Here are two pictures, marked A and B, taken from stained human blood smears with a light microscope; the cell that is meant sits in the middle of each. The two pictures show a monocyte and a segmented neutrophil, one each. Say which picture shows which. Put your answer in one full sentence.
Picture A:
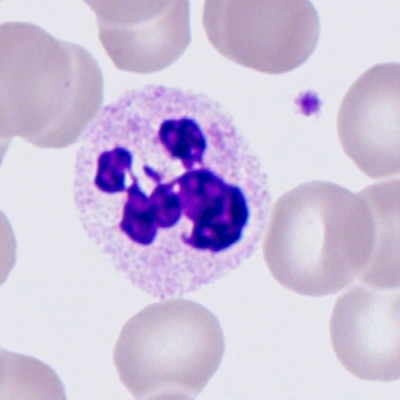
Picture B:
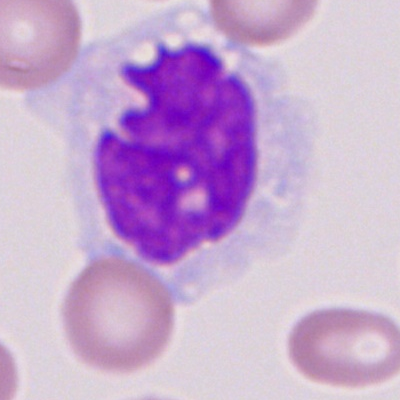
Picture A is of a segmented neutrophil, and picture B is of a monocyte.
